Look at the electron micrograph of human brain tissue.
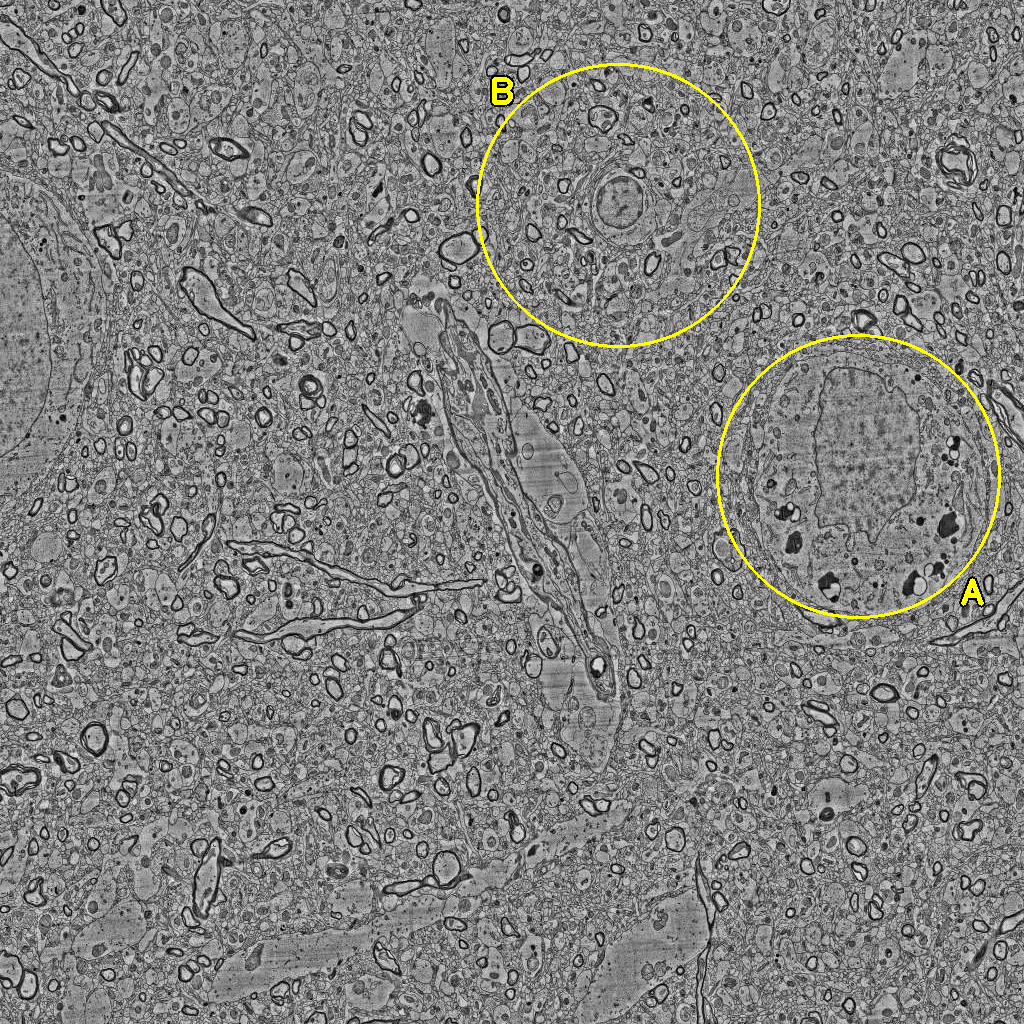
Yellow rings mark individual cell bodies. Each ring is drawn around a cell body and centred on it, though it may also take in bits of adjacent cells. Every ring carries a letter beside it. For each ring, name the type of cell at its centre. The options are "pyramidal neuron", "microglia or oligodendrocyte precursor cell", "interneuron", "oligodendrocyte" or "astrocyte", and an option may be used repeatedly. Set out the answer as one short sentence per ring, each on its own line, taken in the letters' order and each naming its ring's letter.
Ring A is drawn around a pyramidal neuron.
Ring B is drawn around a microglial cell or oligodendrocyte precursor cell.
